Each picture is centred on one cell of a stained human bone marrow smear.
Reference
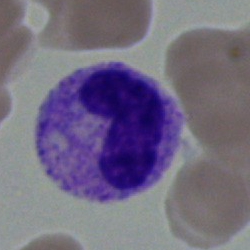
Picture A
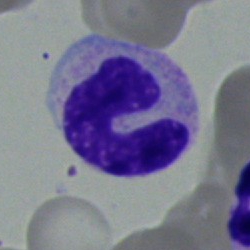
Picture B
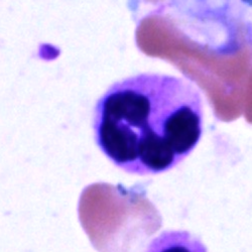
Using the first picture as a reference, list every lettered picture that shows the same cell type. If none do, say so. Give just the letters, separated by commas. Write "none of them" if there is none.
A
